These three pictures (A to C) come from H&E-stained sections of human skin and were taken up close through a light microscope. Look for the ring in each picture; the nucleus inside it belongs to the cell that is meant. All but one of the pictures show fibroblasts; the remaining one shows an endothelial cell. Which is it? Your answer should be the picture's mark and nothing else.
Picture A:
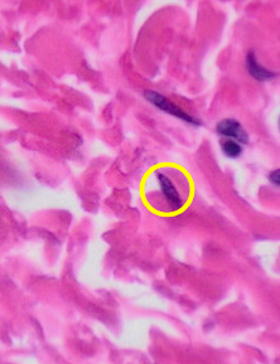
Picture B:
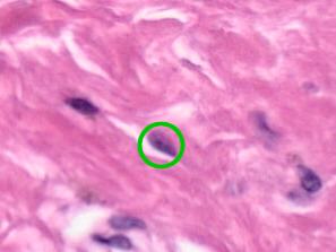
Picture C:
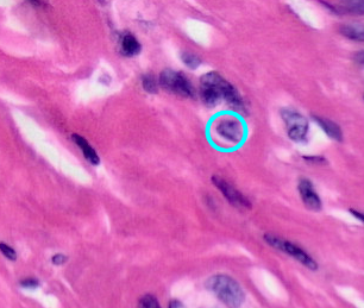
C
